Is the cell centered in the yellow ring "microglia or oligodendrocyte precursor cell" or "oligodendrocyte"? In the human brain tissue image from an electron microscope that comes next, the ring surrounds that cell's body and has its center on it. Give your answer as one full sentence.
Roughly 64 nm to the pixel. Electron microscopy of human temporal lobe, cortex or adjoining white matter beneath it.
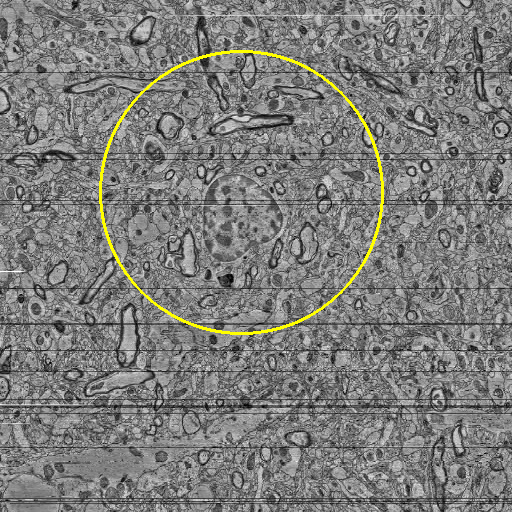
The cell at the center of the yellow ring is a microglial cell or oligodendrocyte precursor cell in the micrograph.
